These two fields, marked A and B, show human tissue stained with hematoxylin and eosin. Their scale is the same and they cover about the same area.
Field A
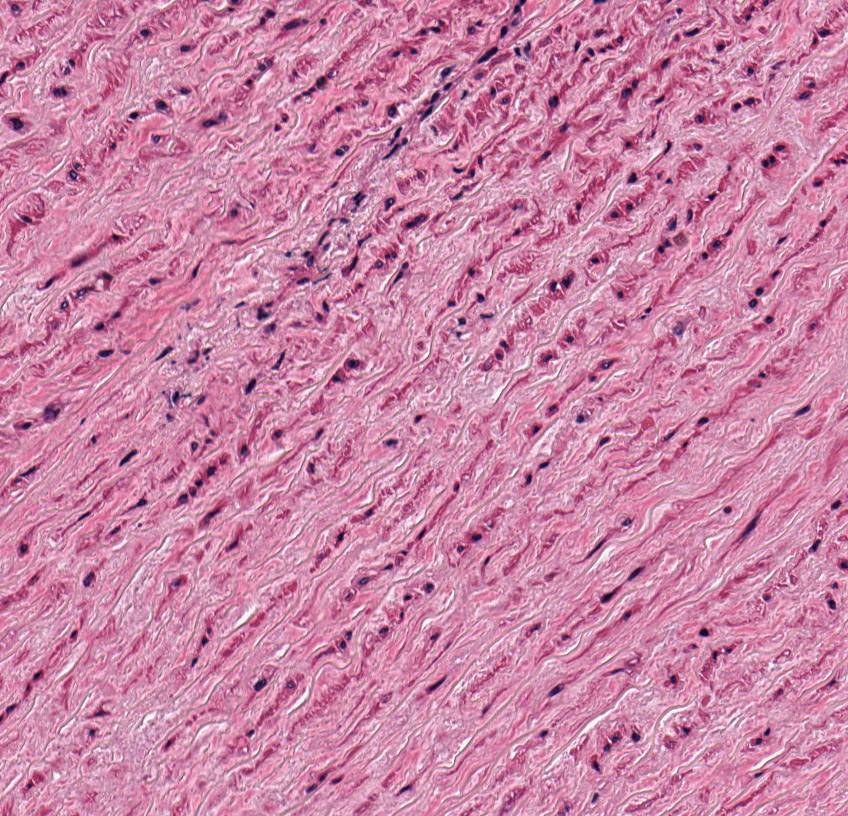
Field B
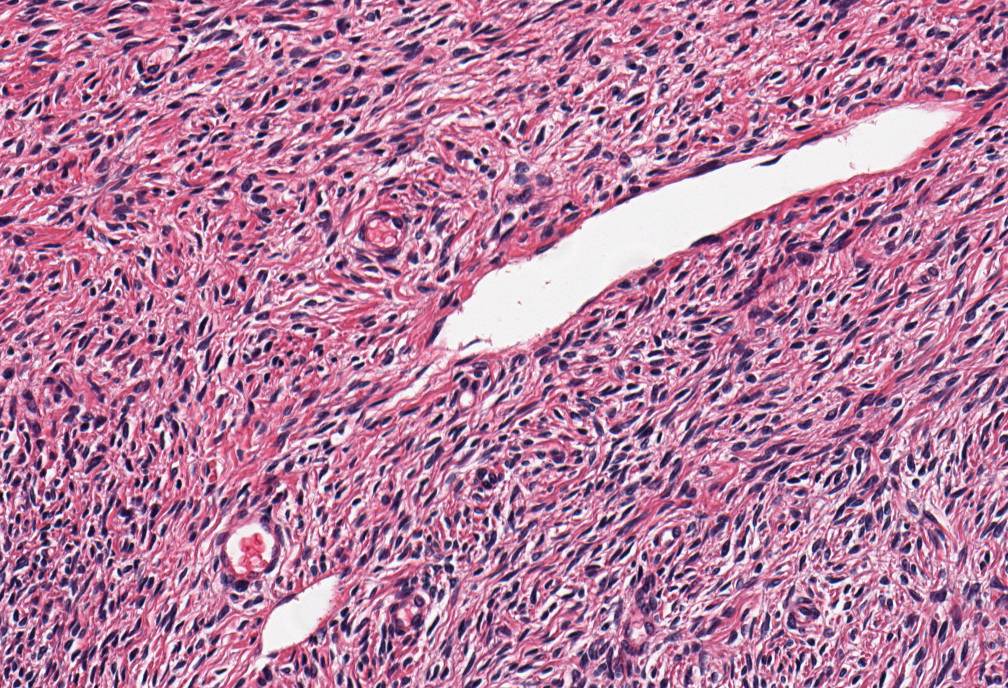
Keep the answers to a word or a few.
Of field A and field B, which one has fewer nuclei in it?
A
